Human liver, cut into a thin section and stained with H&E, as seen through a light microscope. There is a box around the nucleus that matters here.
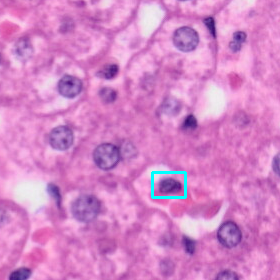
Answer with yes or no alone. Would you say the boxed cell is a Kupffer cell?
yes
